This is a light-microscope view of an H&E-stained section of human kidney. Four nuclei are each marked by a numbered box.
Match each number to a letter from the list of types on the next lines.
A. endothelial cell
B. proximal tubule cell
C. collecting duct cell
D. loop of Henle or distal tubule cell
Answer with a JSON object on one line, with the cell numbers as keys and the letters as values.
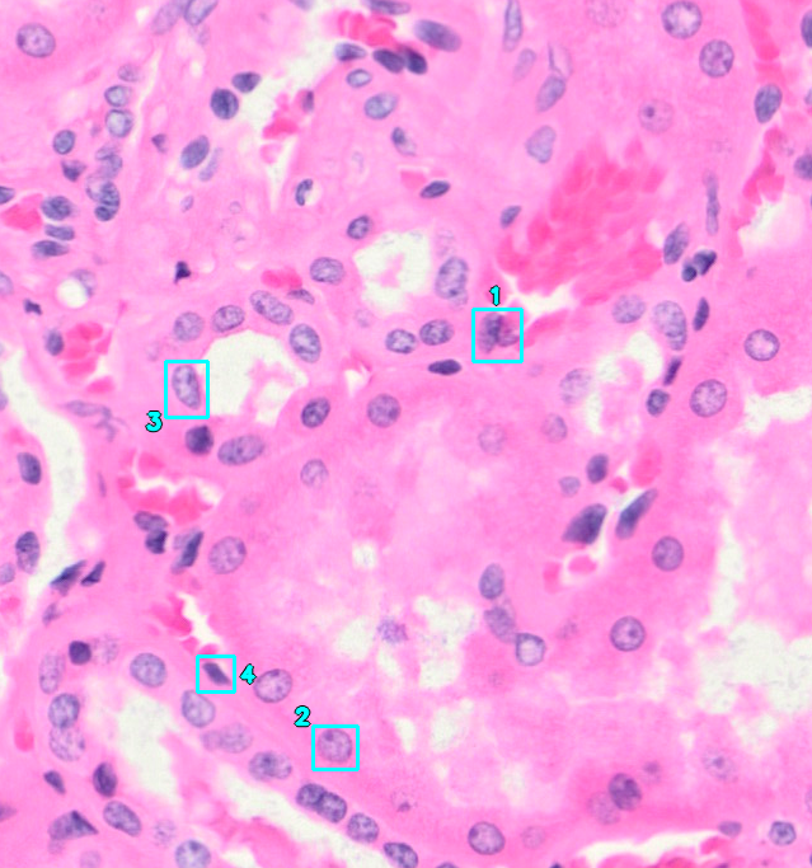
{"1": "A", "2": "B", "3": "D", "4": "A"}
